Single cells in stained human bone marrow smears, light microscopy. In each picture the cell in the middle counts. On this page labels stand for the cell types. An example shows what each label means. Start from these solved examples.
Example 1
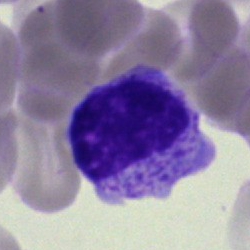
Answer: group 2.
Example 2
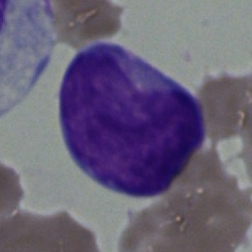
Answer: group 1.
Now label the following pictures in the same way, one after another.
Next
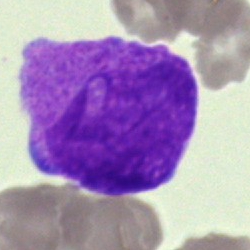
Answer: group 1.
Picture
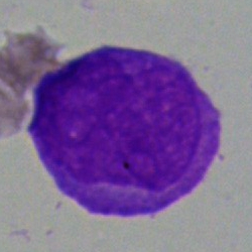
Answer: group 1.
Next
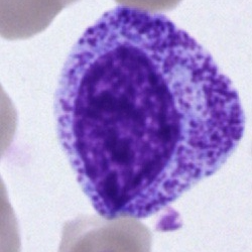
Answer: group 2.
